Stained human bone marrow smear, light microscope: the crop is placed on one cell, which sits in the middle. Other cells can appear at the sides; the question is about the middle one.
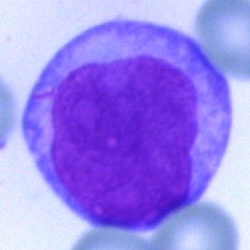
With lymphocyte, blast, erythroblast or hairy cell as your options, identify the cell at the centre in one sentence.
By classification, the middle cell of this crop is a blast.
